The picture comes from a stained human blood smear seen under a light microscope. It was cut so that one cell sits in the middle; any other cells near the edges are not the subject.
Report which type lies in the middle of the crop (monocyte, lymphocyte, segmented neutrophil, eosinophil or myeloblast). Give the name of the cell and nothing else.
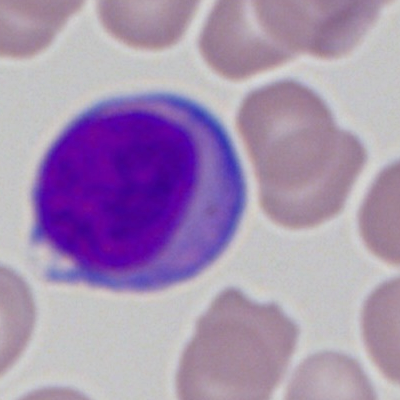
myeloblast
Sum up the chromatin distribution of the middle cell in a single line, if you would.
The chromatin pattern here is coarse and clumped.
